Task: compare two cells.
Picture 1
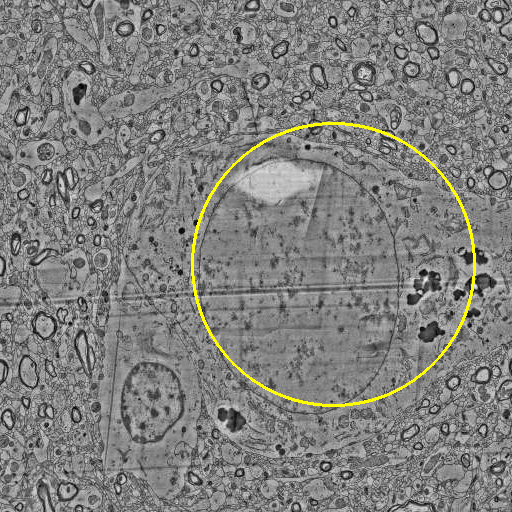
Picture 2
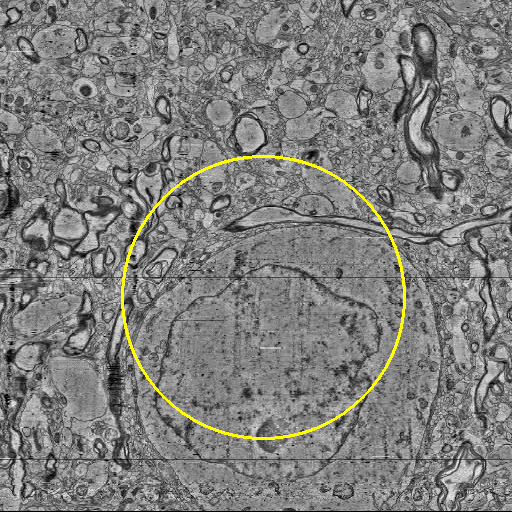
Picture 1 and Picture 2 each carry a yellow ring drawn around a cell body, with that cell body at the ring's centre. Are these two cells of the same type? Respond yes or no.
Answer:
yes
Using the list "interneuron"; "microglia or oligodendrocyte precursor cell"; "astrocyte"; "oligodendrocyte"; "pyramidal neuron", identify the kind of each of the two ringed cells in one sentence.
Each of the two pictures has a pyramidal neuron at the ring centre.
